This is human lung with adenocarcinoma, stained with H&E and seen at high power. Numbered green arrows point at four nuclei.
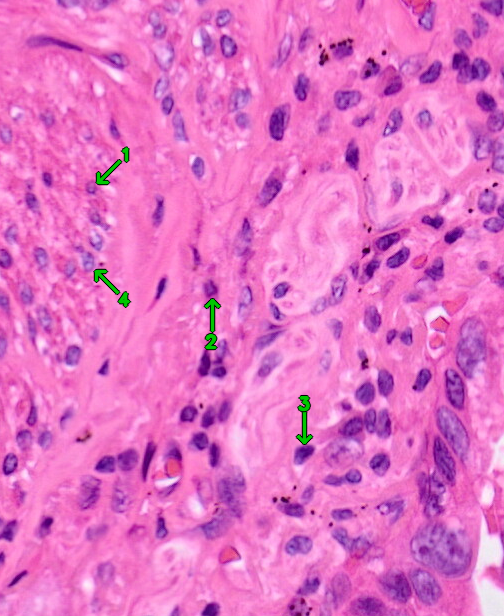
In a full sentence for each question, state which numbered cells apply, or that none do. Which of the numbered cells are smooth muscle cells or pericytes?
The cells the numbers 1 and 4 point to are smooth muscle cells or pericytes.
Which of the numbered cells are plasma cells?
Only cell 2 should be marked as a plasma cell.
